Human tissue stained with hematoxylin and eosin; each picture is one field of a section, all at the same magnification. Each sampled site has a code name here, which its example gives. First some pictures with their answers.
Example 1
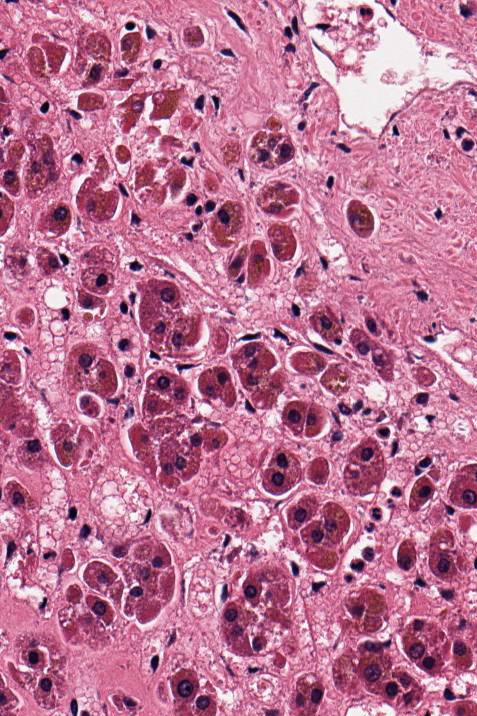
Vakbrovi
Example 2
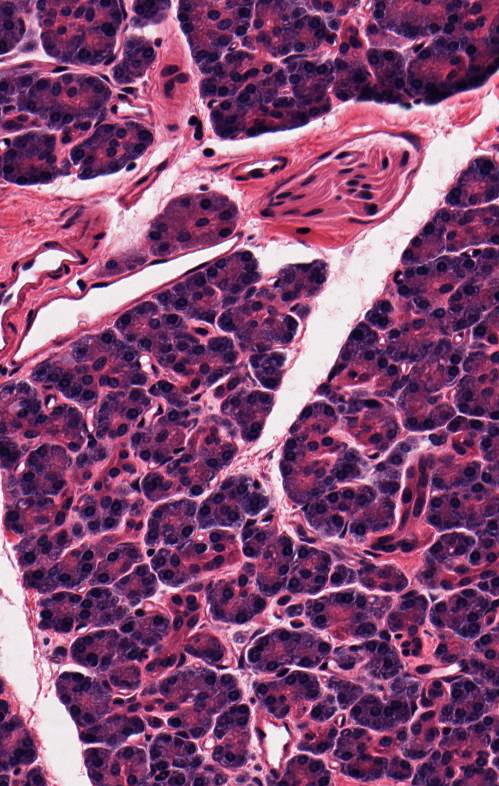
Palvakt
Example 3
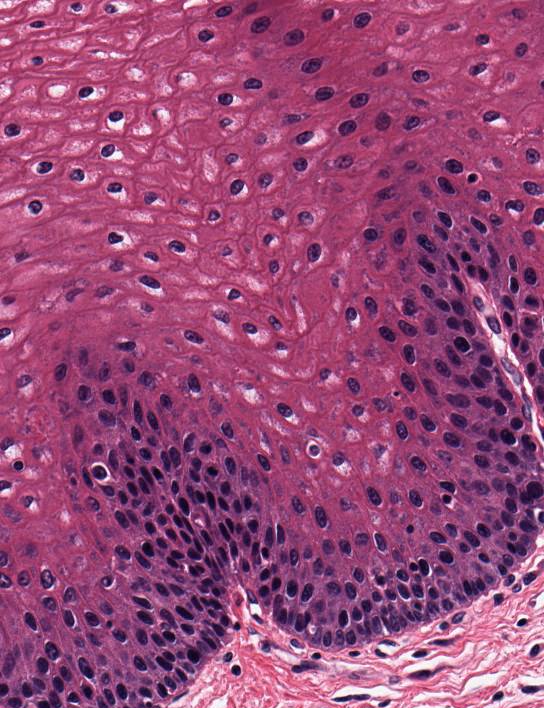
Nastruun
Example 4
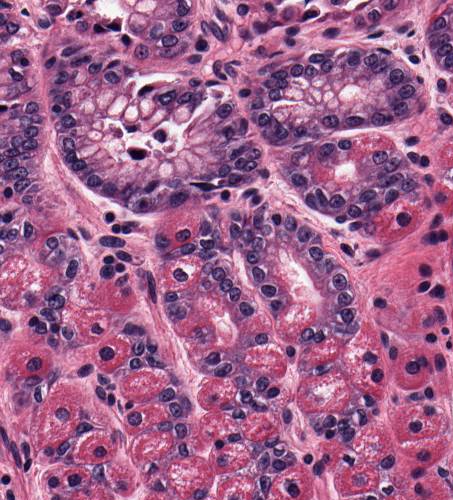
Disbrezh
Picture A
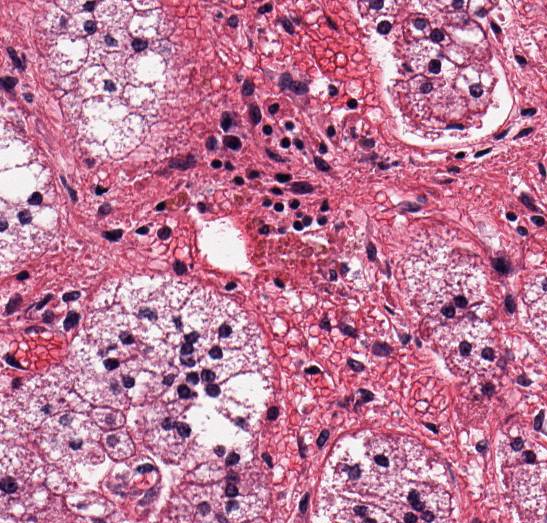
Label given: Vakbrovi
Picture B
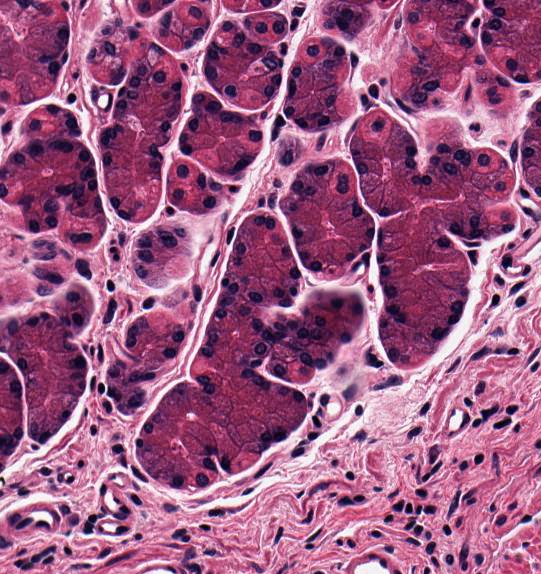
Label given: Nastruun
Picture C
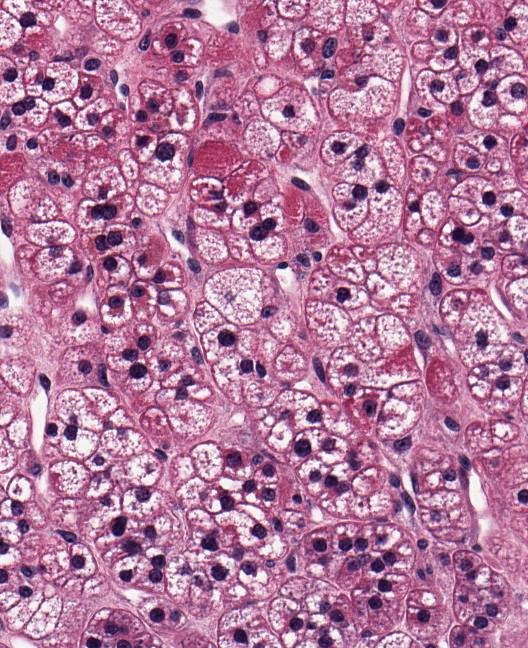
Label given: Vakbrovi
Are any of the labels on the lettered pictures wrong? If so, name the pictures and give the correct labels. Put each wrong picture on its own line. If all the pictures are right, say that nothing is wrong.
No label is wrong.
